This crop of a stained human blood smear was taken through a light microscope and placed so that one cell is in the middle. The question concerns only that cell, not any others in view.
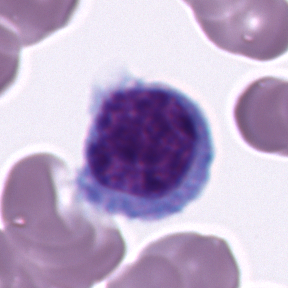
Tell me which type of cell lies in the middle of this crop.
monocyte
